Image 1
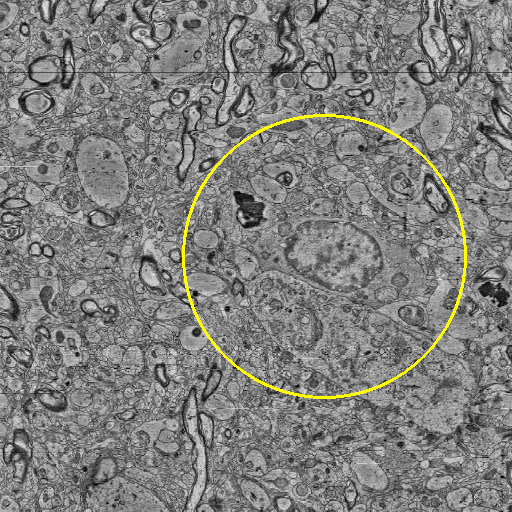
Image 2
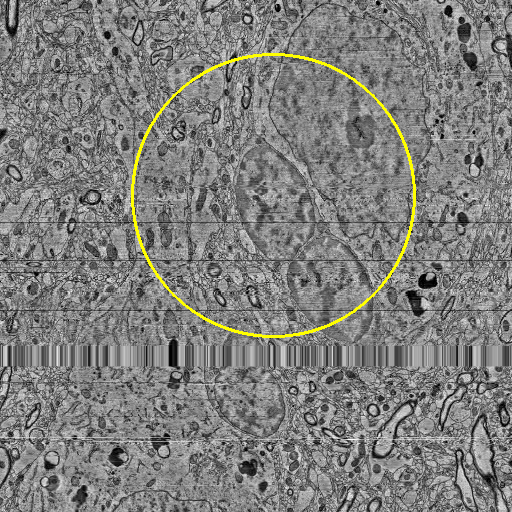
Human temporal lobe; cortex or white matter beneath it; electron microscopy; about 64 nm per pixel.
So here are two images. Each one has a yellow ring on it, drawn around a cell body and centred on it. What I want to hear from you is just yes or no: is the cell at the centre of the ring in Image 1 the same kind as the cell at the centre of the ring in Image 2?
yes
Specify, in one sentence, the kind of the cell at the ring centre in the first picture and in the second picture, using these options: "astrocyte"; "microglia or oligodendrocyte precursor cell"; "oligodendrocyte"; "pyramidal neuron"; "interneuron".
In each picture the ringed cell is an oligodendrocyte.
